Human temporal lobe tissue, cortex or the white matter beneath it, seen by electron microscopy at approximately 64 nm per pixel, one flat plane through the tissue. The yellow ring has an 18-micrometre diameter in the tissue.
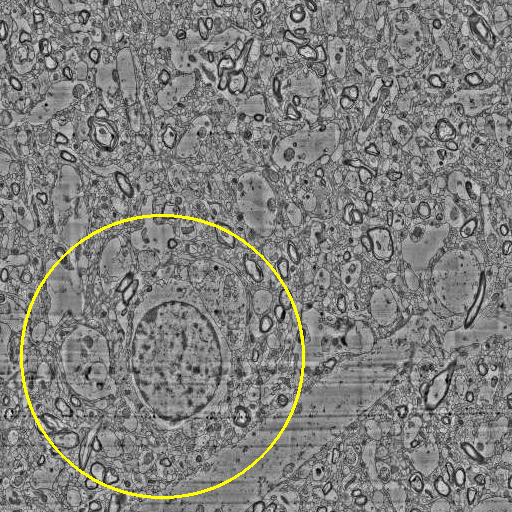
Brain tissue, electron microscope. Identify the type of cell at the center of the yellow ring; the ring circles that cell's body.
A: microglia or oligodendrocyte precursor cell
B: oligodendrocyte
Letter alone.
A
